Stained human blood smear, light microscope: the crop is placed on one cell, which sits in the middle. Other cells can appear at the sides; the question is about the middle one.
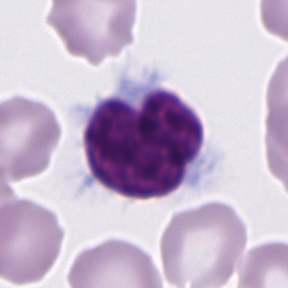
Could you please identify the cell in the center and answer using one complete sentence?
The central cell shown in this smear crop is a hairy cell.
